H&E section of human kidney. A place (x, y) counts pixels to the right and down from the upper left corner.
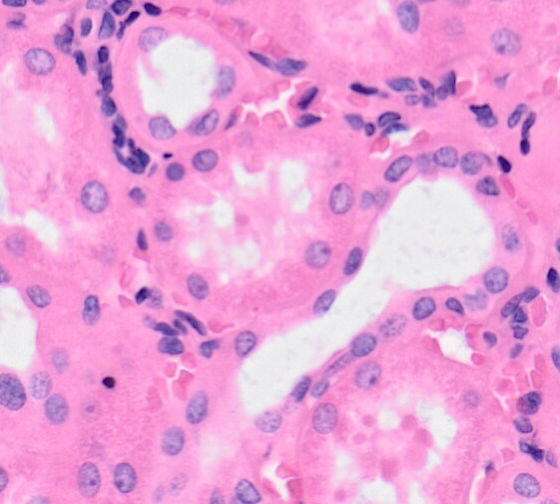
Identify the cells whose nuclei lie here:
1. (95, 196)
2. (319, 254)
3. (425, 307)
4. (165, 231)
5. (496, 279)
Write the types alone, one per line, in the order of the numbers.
proximal tubule cell
proximal tubule cell
collecting duct cell
proximal tubule cell
collecting duct cell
